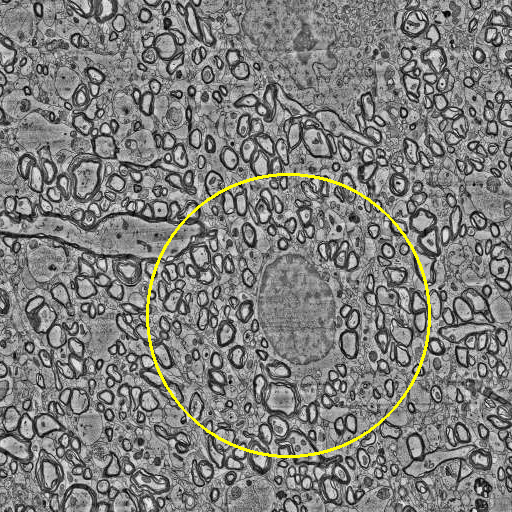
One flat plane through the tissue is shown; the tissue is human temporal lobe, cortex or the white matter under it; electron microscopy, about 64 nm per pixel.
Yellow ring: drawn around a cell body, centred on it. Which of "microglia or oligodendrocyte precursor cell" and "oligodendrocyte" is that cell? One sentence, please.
That cell body is from an oligodendrocyte.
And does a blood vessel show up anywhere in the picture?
No, no vessel appears in the picture.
